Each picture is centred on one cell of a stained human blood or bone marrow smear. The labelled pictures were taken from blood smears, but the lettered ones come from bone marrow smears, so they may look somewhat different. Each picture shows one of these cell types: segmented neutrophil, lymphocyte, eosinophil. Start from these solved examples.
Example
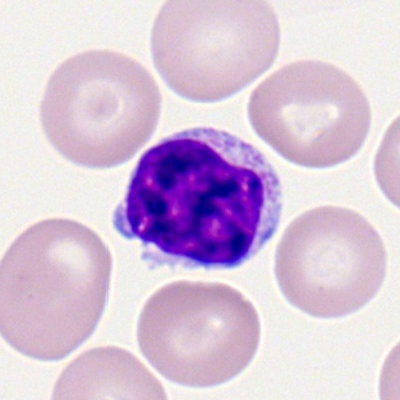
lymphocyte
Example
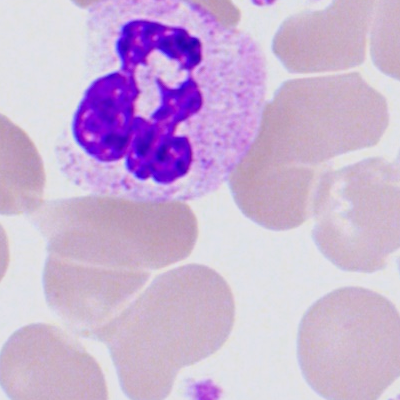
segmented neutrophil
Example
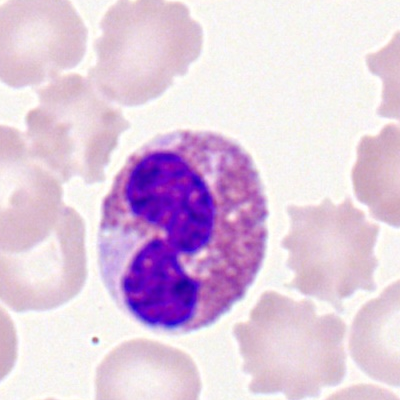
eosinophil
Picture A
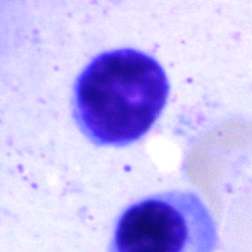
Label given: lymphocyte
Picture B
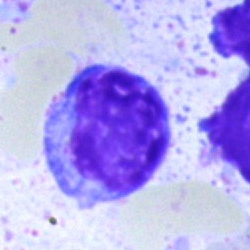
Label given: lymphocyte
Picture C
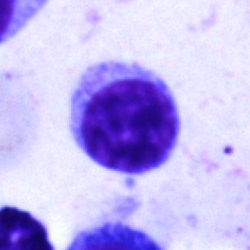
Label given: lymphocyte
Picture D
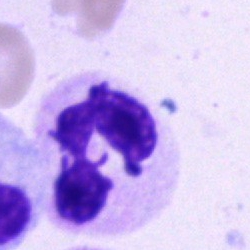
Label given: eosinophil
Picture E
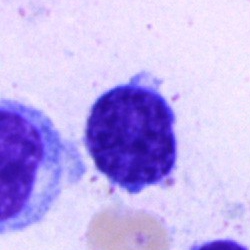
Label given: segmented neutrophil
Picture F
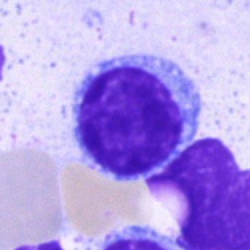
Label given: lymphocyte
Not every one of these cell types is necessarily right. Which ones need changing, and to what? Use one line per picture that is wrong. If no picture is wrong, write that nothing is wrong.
D is labelled eosinophil; correct label: segmented neutrophil
E is labelled segmented neutrophil; correct label: lymphocyte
